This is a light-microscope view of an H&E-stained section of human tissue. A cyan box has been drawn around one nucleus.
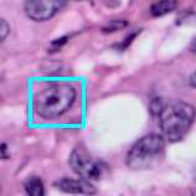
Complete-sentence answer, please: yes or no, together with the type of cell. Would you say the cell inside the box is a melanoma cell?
Yes, and to confirm, the cell inside the box is a melanoma cell.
